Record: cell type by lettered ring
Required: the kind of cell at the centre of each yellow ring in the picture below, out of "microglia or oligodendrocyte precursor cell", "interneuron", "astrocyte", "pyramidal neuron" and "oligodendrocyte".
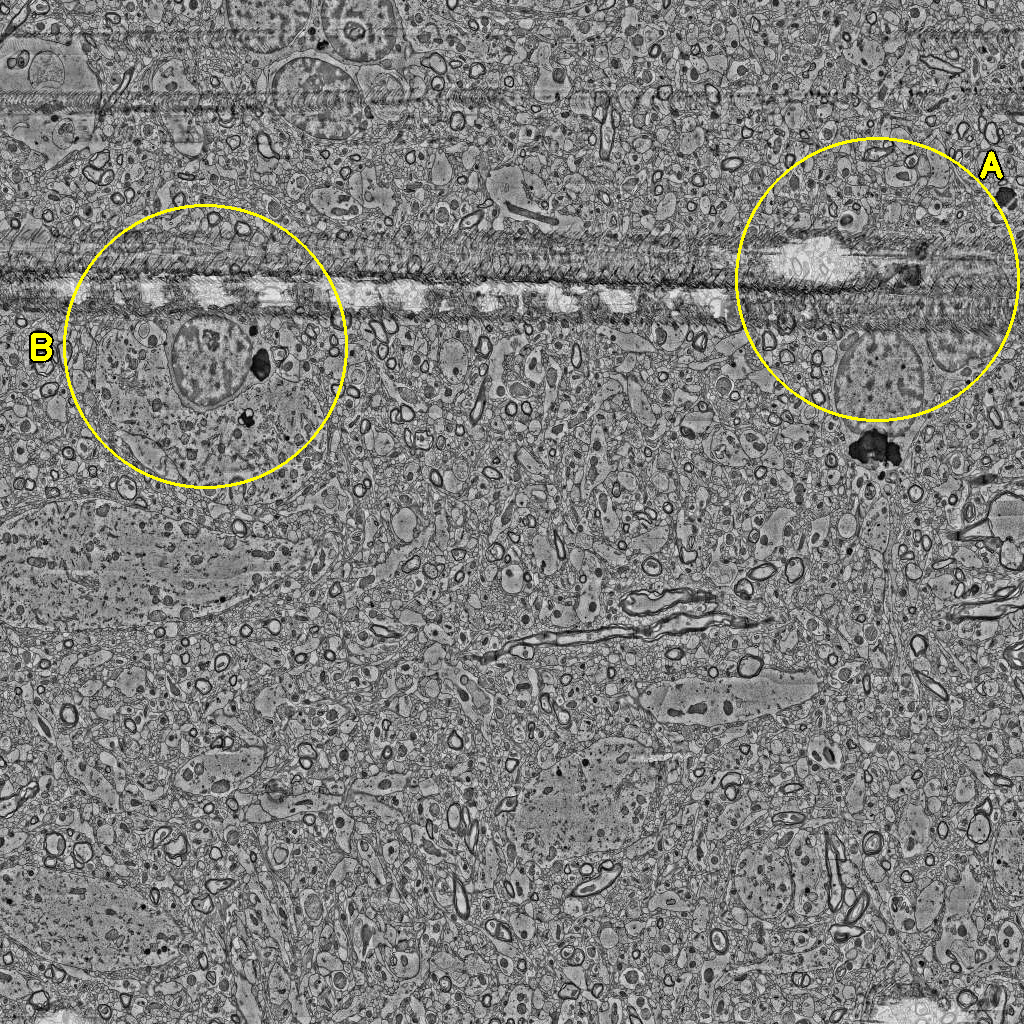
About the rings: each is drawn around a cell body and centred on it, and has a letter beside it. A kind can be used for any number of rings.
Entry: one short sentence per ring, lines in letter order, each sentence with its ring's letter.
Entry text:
At ring A we have an oligodendrocyte.
At ring B we have an oligodendrocyte.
